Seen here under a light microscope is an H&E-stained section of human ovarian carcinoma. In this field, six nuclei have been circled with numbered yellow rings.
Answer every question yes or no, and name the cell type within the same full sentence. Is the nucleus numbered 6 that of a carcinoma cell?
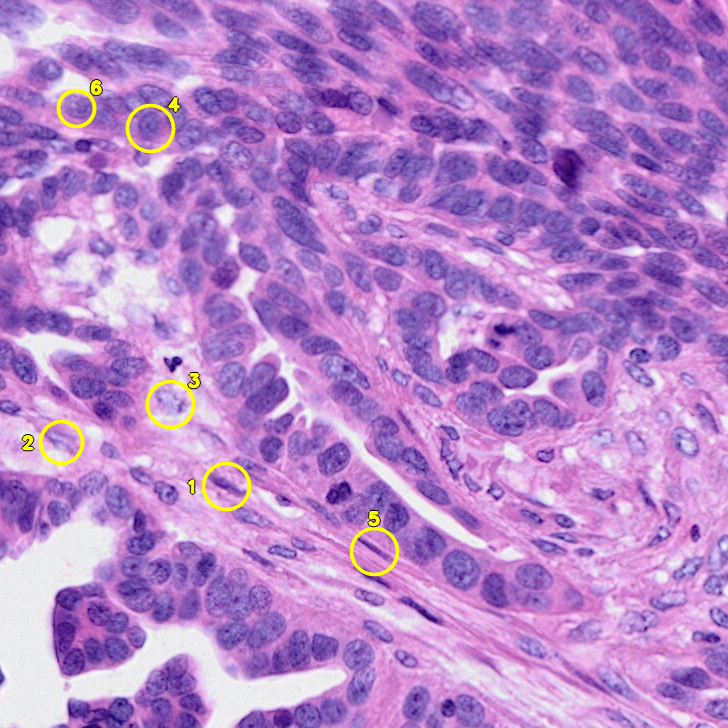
Yes, the marked cell number 6 is a carcinoma cell.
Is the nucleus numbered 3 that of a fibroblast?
Yes, the cell marked with number 3 is a fibroblast.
